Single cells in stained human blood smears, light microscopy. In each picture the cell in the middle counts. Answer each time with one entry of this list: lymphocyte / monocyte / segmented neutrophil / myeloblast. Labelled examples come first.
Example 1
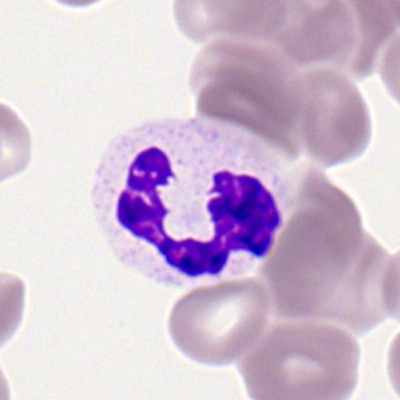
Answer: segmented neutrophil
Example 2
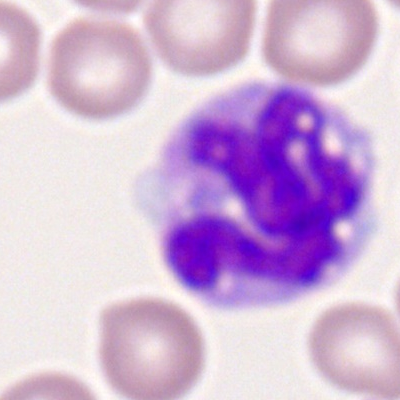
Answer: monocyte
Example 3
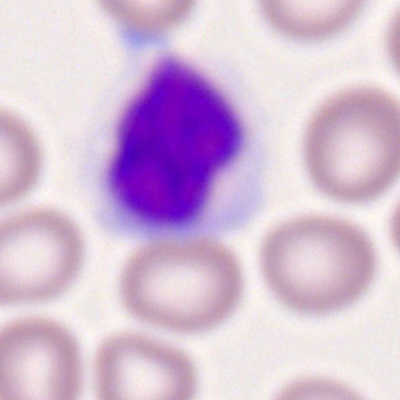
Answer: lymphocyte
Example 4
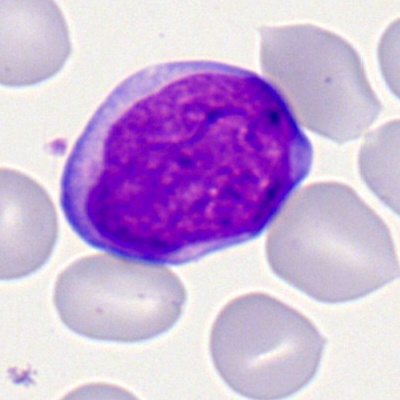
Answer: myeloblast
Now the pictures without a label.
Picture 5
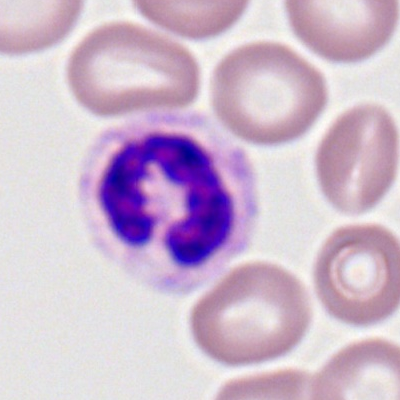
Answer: segmented neutrophil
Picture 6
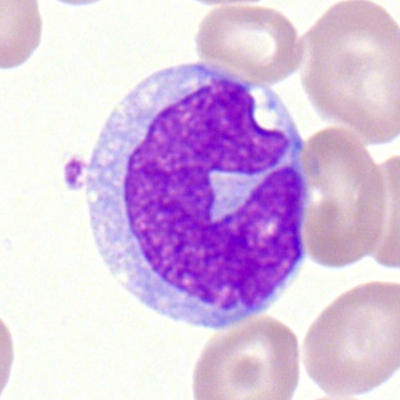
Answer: monocyte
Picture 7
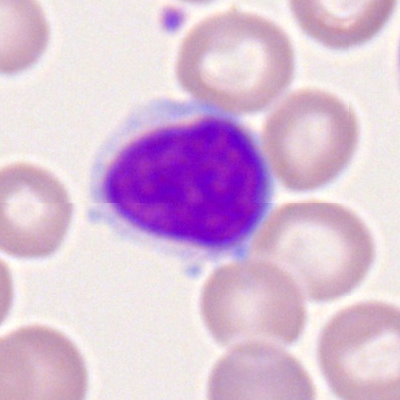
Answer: lymphocyte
